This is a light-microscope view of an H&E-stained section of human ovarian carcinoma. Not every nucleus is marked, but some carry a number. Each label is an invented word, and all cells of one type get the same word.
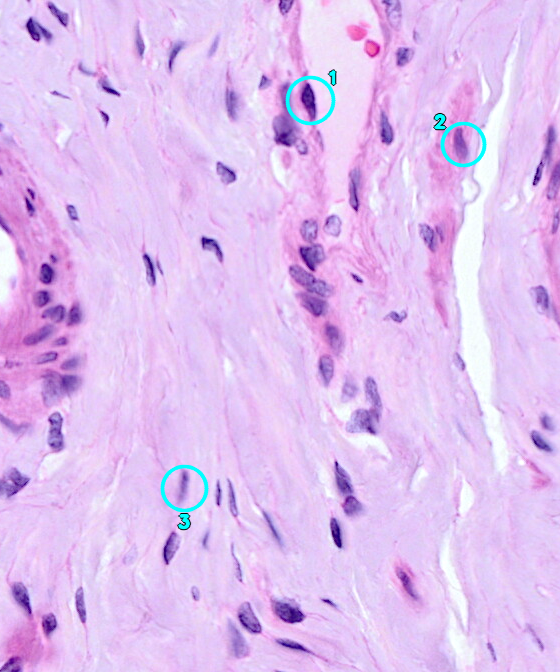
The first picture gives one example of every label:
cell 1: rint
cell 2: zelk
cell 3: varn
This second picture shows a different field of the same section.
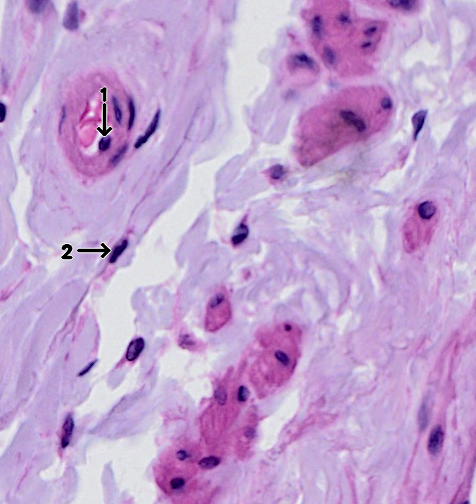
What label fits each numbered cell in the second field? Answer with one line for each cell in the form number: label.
1: rint
2: varn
